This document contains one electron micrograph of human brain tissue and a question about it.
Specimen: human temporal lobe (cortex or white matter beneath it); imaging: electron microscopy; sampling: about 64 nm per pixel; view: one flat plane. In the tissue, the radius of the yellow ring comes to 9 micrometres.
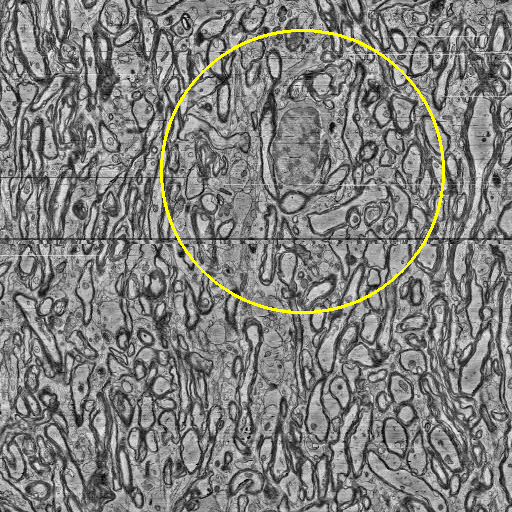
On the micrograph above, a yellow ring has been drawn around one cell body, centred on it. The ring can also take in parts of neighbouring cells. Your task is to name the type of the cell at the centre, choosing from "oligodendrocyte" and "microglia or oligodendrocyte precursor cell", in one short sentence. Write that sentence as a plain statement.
Here the ring is centred on an oligodendrocyte.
